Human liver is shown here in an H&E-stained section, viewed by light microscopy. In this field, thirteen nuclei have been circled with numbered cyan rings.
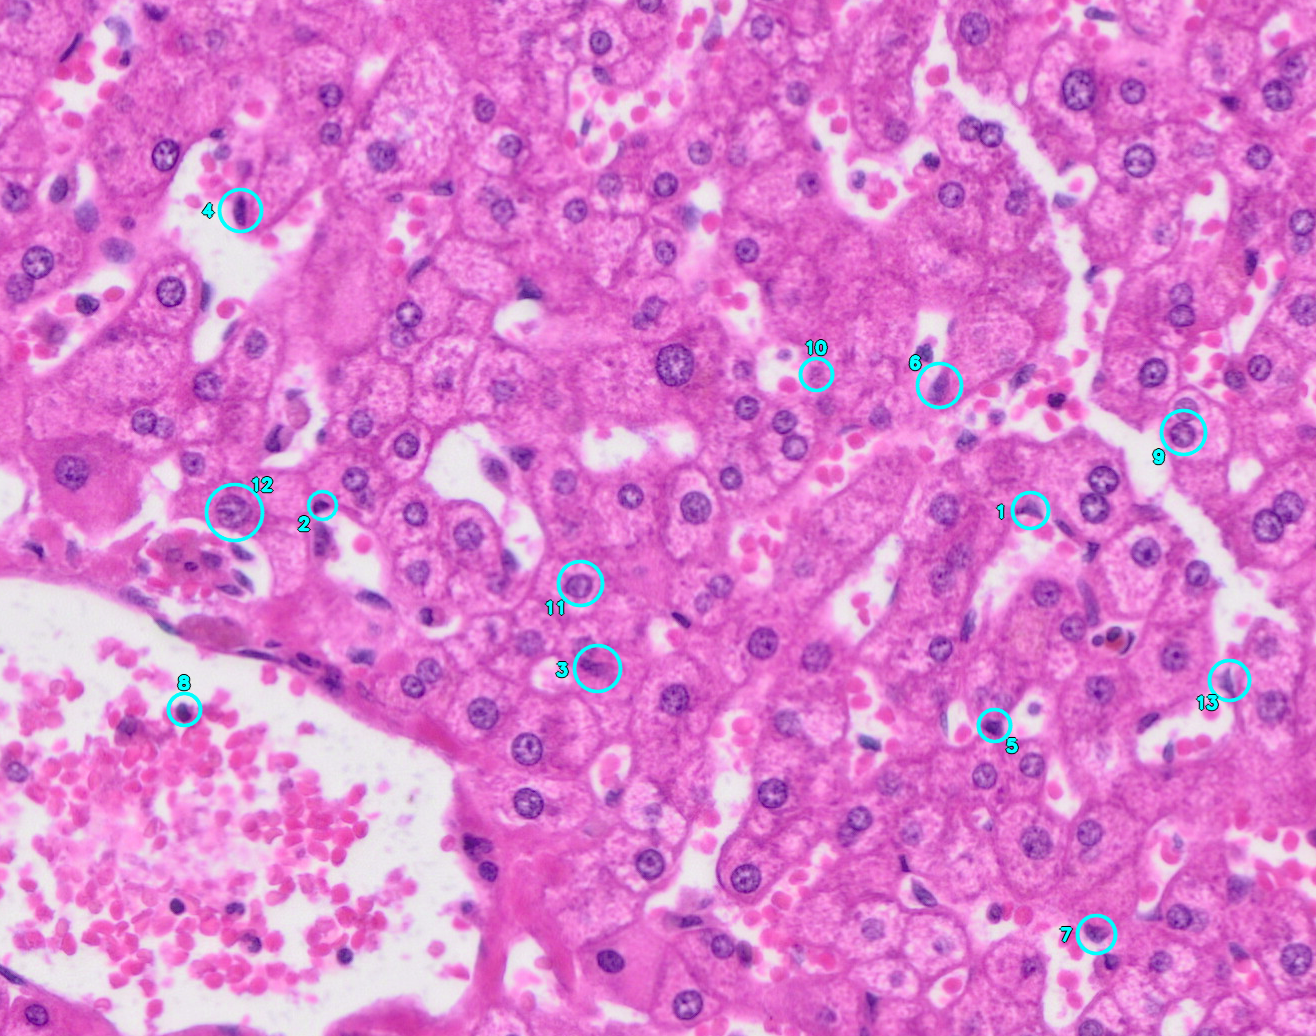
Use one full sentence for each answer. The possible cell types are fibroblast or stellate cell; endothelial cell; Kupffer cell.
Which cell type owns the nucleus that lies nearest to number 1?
Number 1 lies closest to the nucleus of a fibroblast or stellate cell.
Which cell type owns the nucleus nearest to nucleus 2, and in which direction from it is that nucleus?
The closest nucleus belongs to a Kupffer cell and sits below nucleus 2.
